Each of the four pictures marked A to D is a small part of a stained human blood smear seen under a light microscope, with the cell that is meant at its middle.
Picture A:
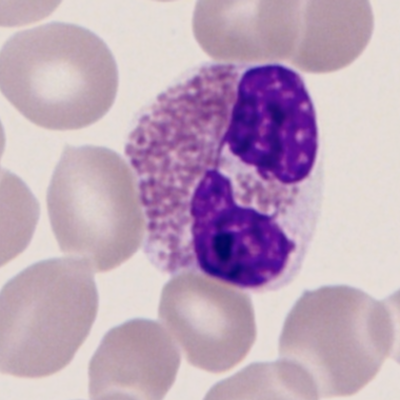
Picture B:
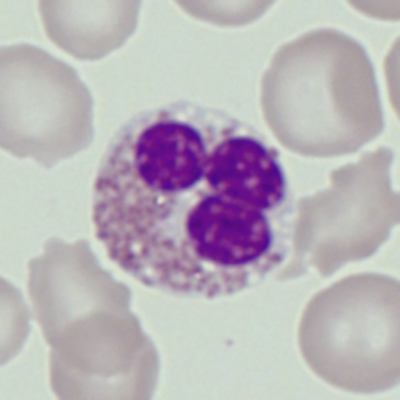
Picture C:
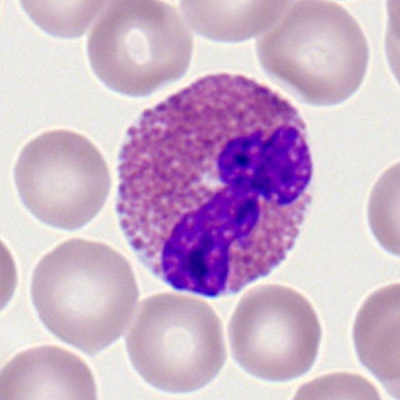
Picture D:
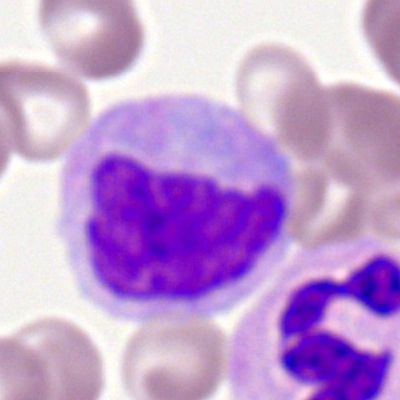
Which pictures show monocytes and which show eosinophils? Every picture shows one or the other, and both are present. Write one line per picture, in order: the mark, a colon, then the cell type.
A: eosinophil
B: eosinophil
C: eosinophil
D: monocyte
